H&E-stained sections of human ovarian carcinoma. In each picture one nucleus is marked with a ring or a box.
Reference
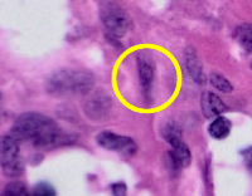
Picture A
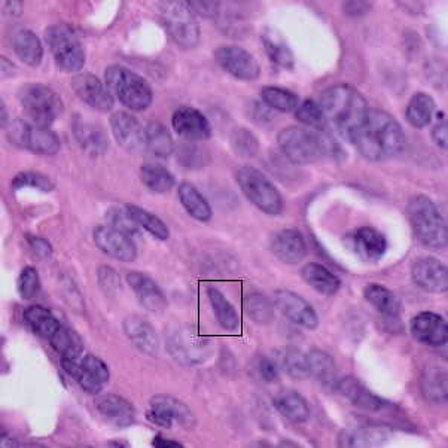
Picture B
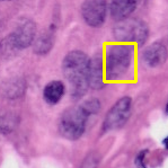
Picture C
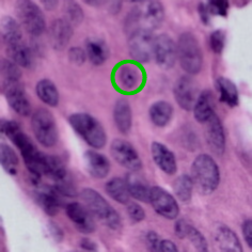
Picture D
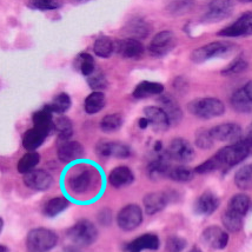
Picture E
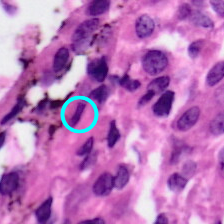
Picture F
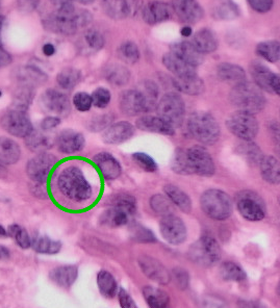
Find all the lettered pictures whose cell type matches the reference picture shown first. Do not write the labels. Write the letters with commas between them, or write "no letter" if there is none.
C, E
